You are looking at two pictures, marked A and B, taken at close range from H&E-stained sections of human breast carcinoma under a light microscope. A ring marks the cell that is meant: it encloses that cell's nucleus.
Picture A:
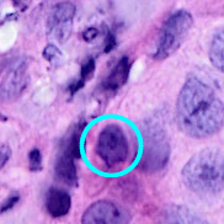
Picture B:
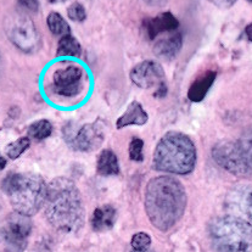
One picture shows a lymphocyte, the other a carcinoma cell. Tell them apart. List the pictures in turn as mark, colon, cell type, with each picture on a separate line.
A: carcinoma cell
B: lymphocyte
